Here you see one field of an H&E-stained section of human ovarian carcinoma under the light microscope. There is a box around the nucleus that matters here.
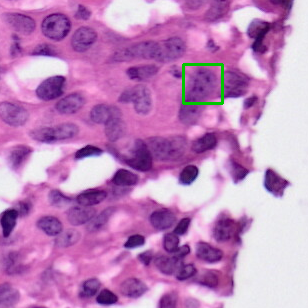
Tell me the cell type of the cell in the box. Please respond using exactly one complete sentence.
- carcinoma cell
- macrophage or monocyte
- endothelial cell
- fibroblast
For the purposes of cell typing, the cell in the box is categorized as a carcinoma cell.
